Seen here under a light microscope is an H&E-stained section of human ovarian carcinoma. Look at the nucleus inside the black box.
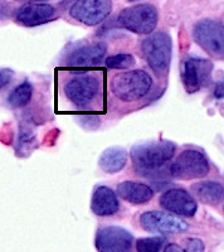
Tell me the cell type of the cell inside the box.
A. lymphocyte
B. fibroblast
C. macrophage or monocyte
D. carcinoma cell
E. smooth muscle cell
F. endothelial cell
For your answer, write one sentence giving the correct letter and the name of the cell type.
Option D stands as correct, with the cell inside the box being a carcinoma cell.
